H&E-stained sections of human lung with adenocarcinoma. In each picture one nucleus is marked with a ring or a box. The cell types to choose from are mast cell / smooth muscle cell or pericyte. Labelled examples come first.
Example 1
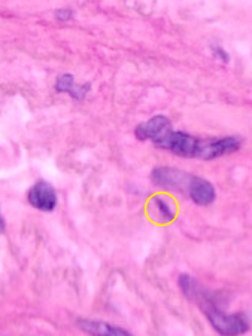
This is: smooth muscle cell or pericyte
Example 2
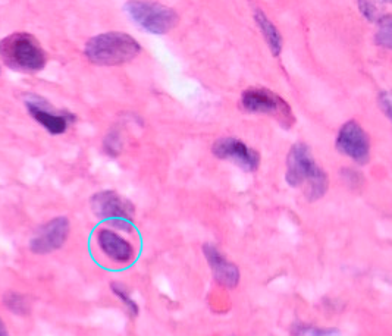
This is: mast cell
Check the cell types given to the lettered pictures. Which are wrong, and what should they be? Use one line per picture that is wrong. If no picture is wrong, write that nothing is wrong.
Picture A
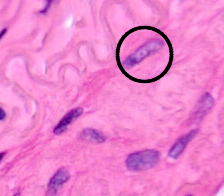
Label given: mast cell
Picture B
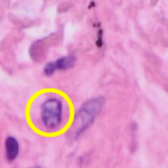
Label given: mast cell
Wrong: A (mast cell); correct: smooth muscle cell or pericyte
